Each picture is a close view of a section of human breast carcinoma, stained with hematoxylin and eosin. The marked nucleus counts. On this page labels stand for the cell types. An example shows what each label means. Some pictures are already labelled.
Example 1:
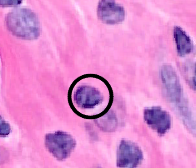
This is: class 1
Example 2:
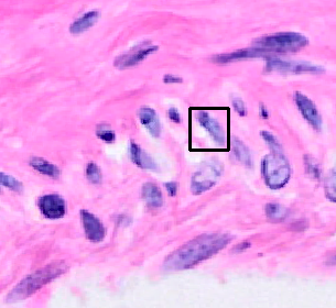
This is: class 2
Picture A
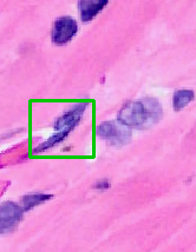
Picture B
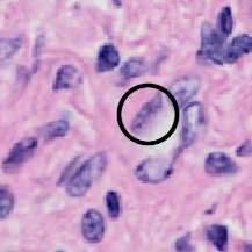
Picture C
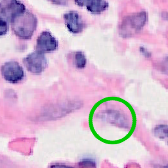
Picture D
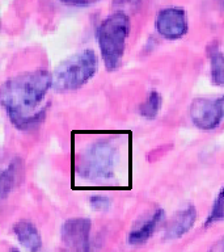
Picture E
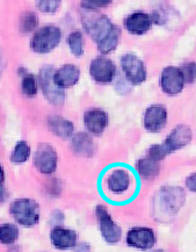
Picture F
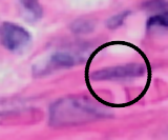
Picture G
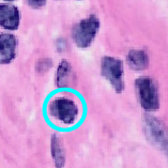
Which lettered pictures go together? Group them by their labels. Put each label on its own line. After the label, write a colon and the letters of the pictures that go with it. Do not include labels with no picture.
class 1: E, G
class 2: A, B, C, D, F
